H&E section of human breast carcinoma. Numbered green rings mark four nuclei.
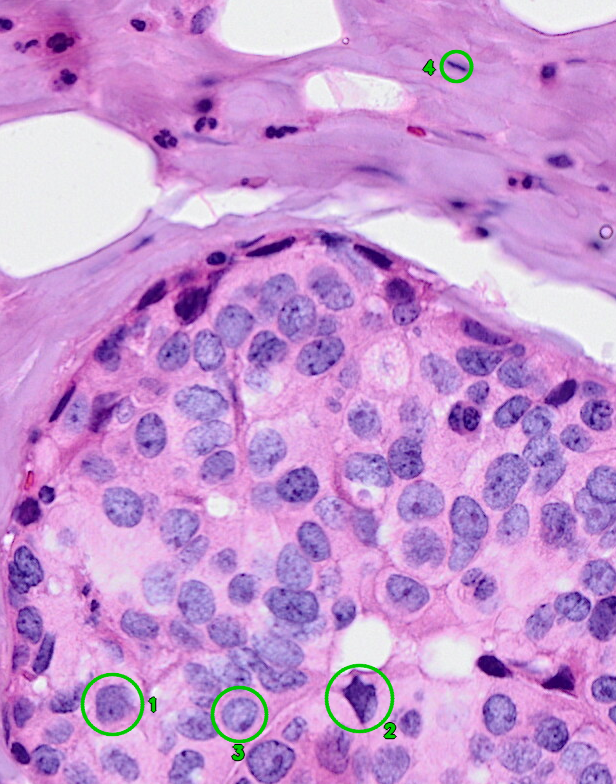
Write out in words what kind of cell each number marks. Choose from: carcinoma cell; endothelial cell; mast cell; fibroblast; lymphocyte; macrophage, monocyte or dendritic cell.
Cell 1 is a carcinoma cell, cell 2 is a carcinoma cell, cell 3 is a carcinoma cell and cell 4 is a fibroblast.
